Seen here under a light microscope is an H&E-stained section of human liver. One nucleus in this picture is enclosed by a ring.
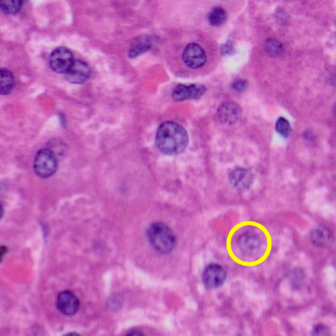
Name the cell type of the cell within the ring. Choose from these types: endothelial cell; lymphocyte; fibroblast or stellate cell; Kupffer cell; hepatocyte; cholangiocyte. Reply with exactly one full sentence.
Cell type answer for this item: the cell within the ring is a hepatocyte.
